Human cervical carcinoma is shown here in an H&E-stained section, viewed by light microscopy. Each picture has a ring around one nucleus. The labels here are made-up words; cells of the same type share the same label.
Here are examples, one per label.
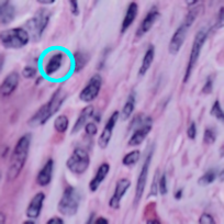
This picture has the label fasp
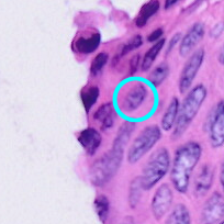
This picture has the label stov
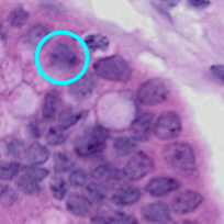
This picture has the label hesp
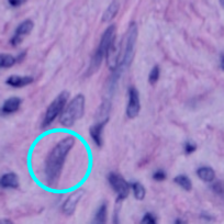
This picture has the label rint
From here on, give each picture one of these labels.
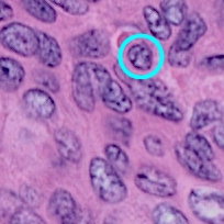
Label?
stov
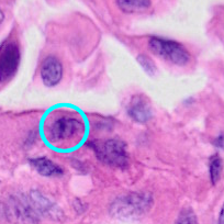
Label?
stov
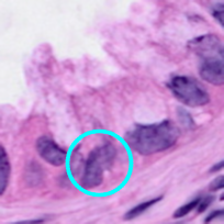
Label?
hesp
